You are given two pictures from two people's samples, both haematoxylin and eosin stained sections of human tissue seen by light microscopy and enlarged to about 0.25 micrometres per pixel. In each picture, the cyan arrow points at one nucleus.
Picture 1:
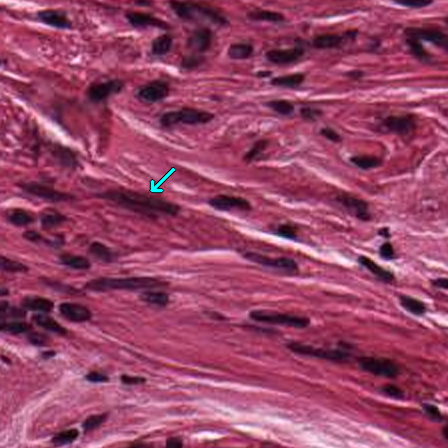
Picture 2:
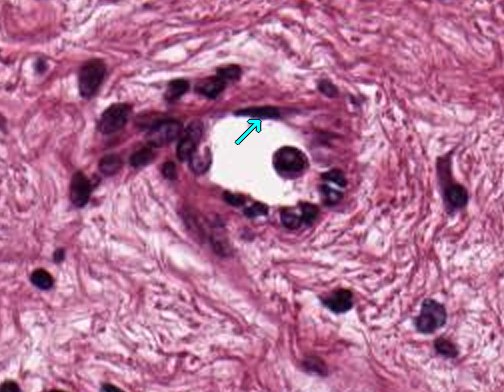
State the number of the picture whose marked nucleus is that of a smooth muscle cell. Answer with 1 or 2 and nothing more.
1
